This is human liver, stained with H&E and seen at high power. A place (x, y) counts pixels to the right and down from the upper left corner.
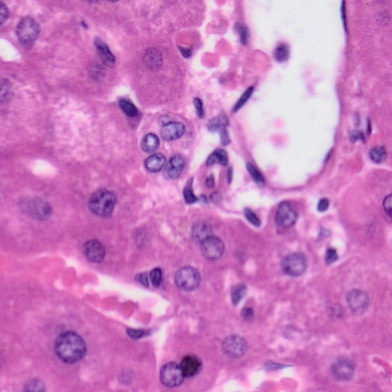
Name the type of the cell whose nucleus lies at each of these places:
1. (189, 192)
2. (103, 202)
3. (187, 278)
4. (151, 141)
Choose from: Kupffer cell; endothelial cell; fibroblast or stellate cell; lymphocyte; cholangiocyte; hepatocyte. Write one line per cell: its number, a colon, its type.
1: fibroblast or stellate cell
2: hepatocyte
3: hepatocyte
4: cholangiocyte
